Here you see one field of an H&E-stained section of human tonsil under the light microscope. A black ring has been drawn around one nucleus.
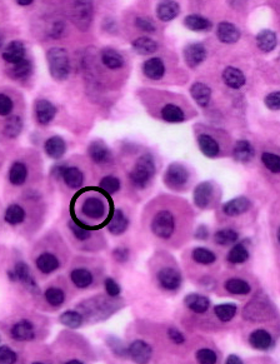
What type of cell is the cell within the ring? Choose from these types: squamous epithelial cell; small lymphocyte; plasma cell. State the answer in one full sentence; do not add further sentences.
What the cell within the ring represents is a plasma cell.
